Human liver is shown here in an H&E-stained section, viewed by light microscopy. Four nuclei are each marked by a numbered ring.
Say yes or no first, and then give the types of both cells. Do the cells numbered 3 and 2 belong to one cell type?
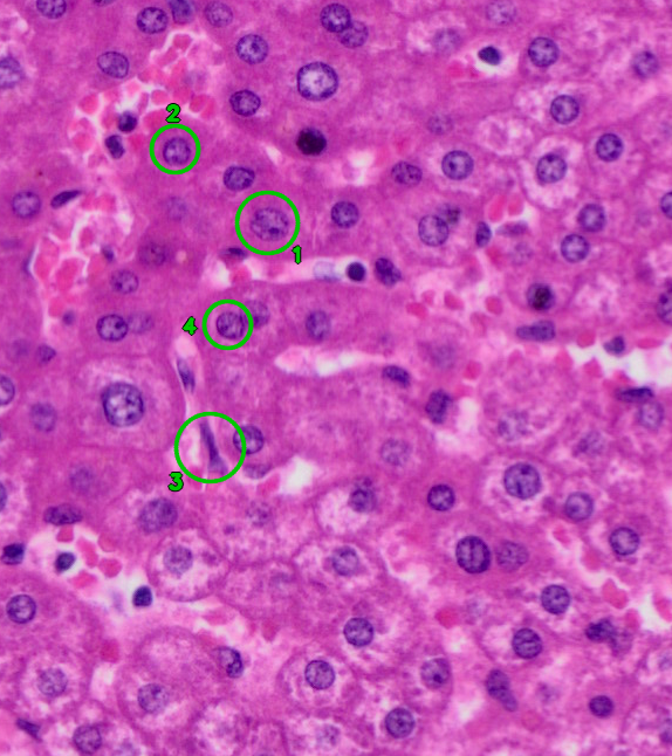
No, cell 2 is a hepatocyte, and cell 3 is a Kupffer cell.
